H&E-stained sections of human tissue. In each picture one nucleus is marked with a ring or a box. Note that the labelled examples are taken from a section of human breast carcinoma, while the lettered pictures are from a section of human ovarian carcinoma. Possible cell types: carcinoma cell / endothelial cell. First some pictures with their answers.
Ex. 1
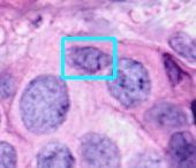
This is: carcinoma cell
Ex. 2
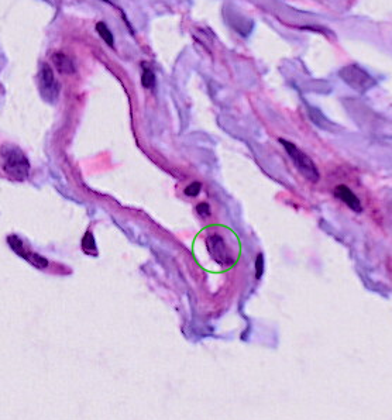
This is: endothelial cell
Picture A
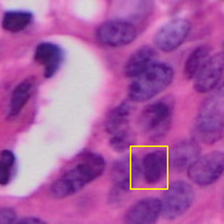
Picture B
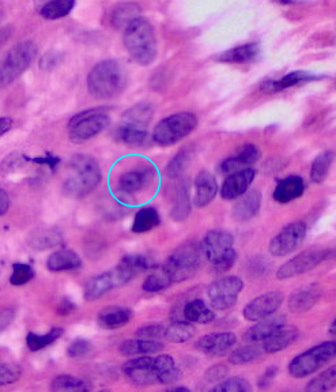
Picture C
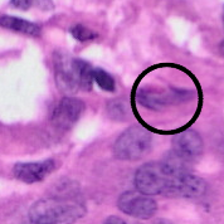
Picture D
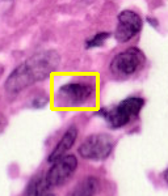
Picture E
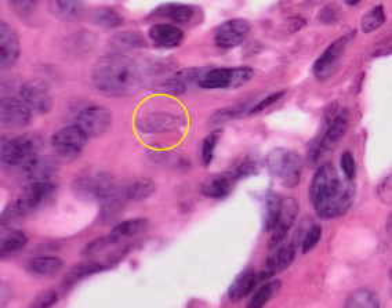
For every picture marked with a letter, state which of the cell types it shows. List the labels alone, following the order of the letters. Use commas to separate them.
carcinoma cell, carcinoma cell, endothelial cell, carcinoma cell, endothelial cell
